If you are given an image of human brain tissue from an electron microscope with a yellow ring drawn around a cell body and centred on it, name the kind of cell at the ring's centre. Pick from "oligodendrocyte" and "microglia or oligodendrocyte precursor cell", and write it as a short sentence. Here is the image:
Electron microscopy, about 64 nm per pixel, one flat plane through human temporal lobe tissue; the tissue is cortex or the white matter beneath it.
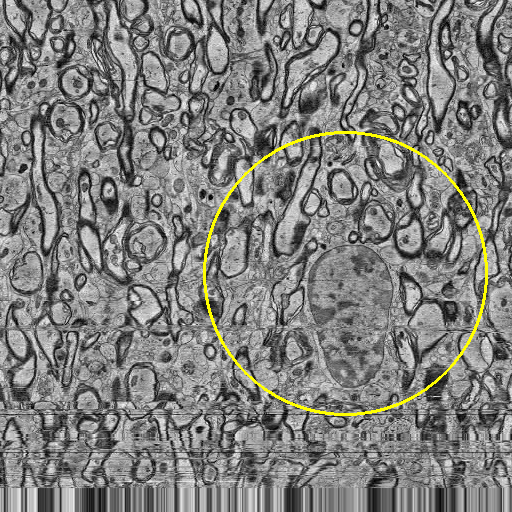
The cell at the ring's centre is a microglial cell or oligodendrocyte precursor cell.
